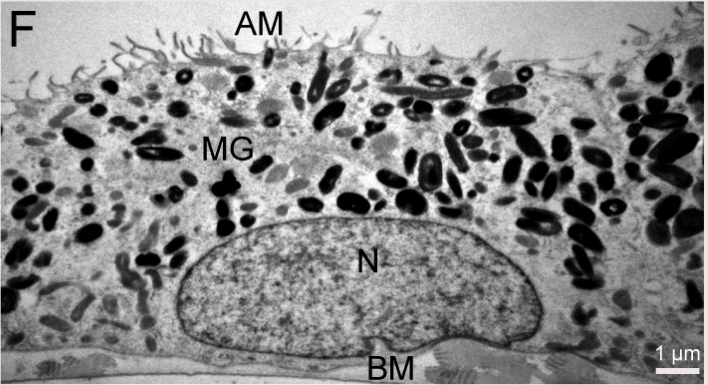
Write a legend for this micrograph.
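Transmission electron micrograph of a pigmented epithelial cell with abundant microvilli along its apical surface. Numerous electron-dense melanin granules, ellipsoid, rod-like or ring-shaped in section, fill the apical and lateral cytoplasm. A large oval nucleus with evenly dispersed chromatin occupies the basal part of the cell. A thin basement membrane lies beneath the basal cell surface. The granules are densest above and beside the nucleus, leaving the basal cytoplasm comparatively clear.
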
